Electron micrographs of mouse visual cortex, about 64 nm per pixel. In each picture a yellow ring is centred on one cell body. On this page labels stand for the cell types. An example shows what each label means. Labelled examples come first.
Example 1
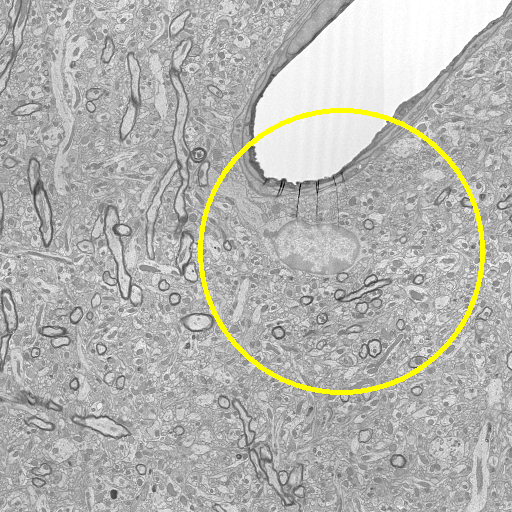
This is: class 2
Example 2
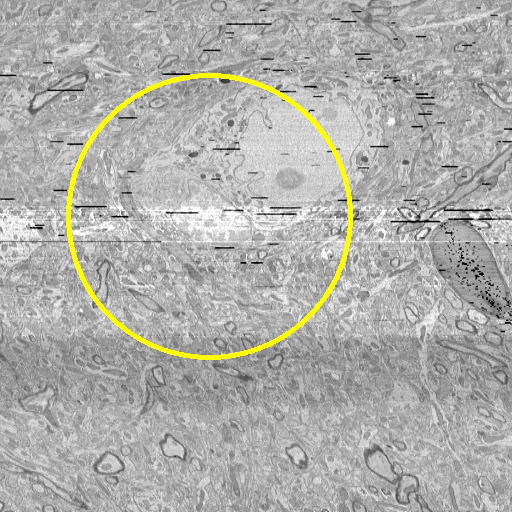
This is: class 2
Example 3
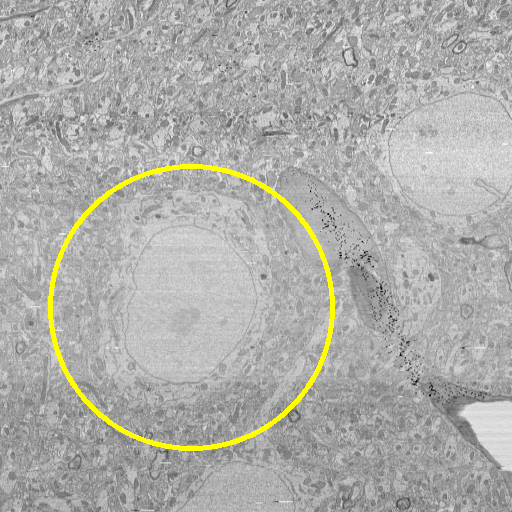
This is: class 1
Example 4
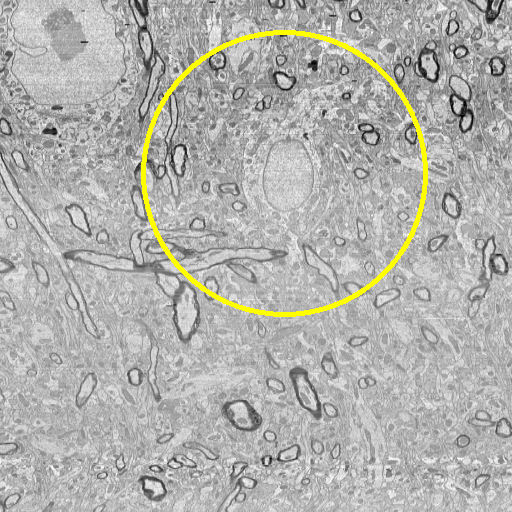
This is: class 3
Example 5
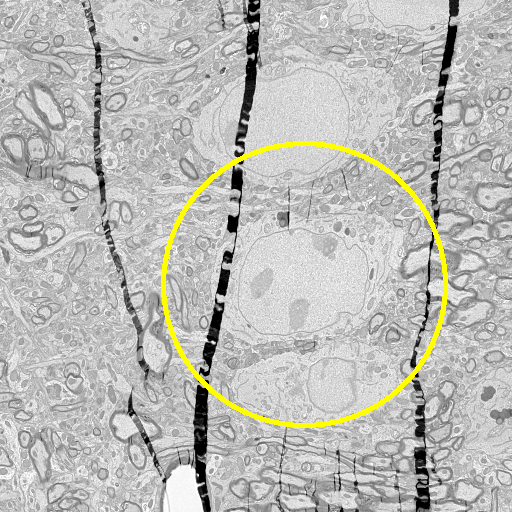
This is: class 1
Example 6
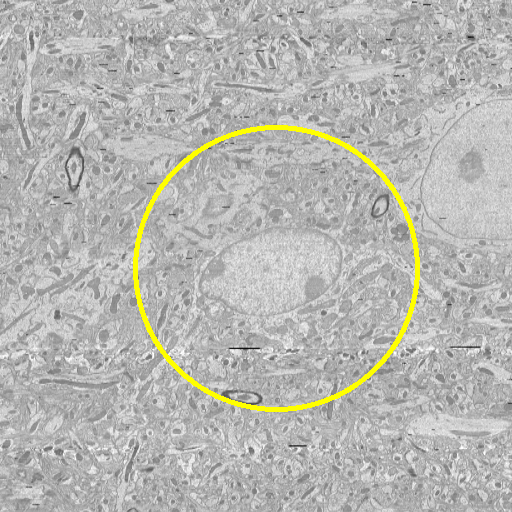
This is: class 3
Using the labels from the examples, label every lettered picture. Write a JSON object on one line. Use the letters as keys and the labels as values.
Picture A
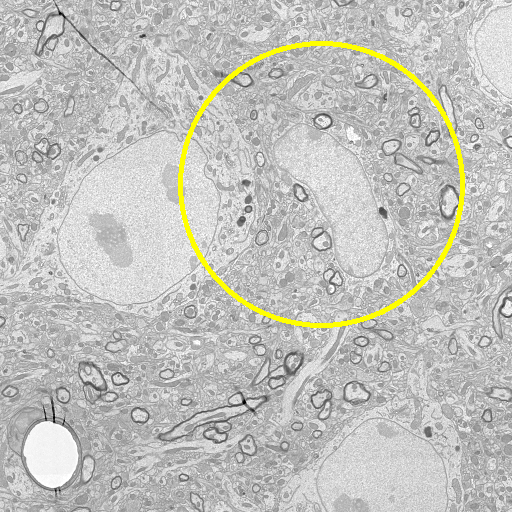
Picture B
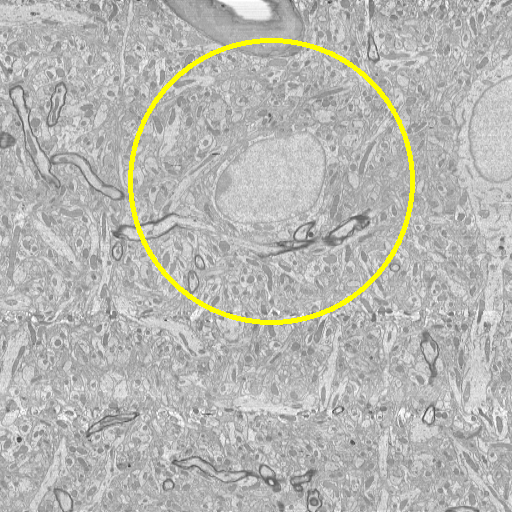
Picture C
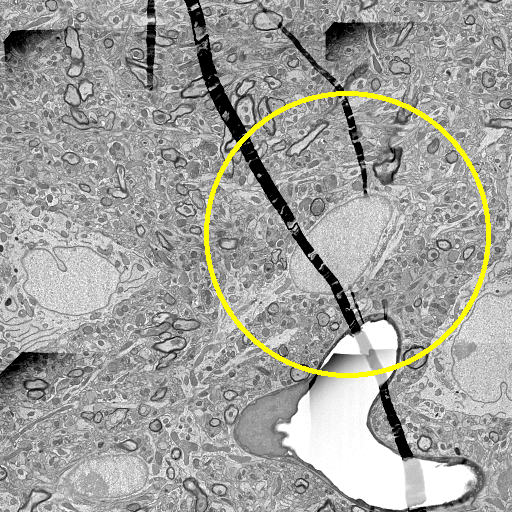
{"A": "class 3", "B": "class 3", "C": "class 3"}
